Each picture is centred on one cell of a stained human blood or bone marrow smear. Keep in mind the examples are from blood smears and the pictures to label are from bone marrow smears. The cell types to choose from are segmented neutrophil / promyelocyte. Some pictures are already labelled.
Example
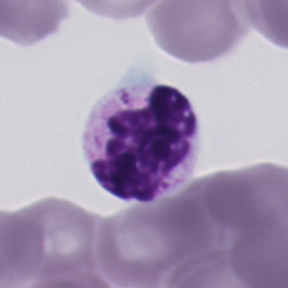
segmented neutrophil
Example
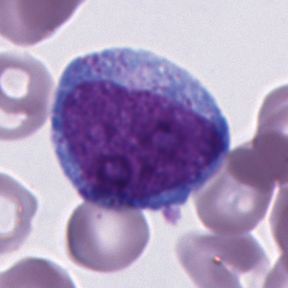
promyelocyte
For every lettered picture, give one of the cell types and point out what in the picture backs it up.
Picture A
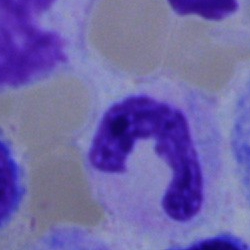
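segmented neutrophil. Evidence: The nucleus is a single curved band bent like a horseshoe.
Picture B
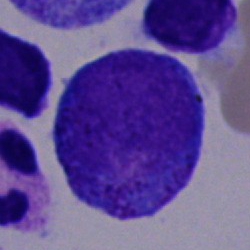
promyelocyte. Evidence: The chromatin is fine and evenly spread rather than coarsely clumped.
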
